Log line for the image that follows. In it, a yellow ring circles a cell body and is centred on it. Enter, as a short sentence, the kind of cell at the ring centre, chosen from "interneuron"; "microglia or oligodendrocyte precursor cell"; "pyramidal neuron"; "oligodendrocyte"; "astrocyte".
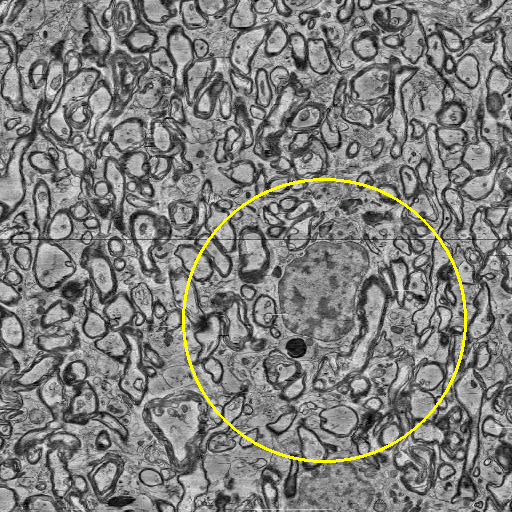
The ring centre is occupied by a microglial cell or oligodendrocyte precursor cell.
